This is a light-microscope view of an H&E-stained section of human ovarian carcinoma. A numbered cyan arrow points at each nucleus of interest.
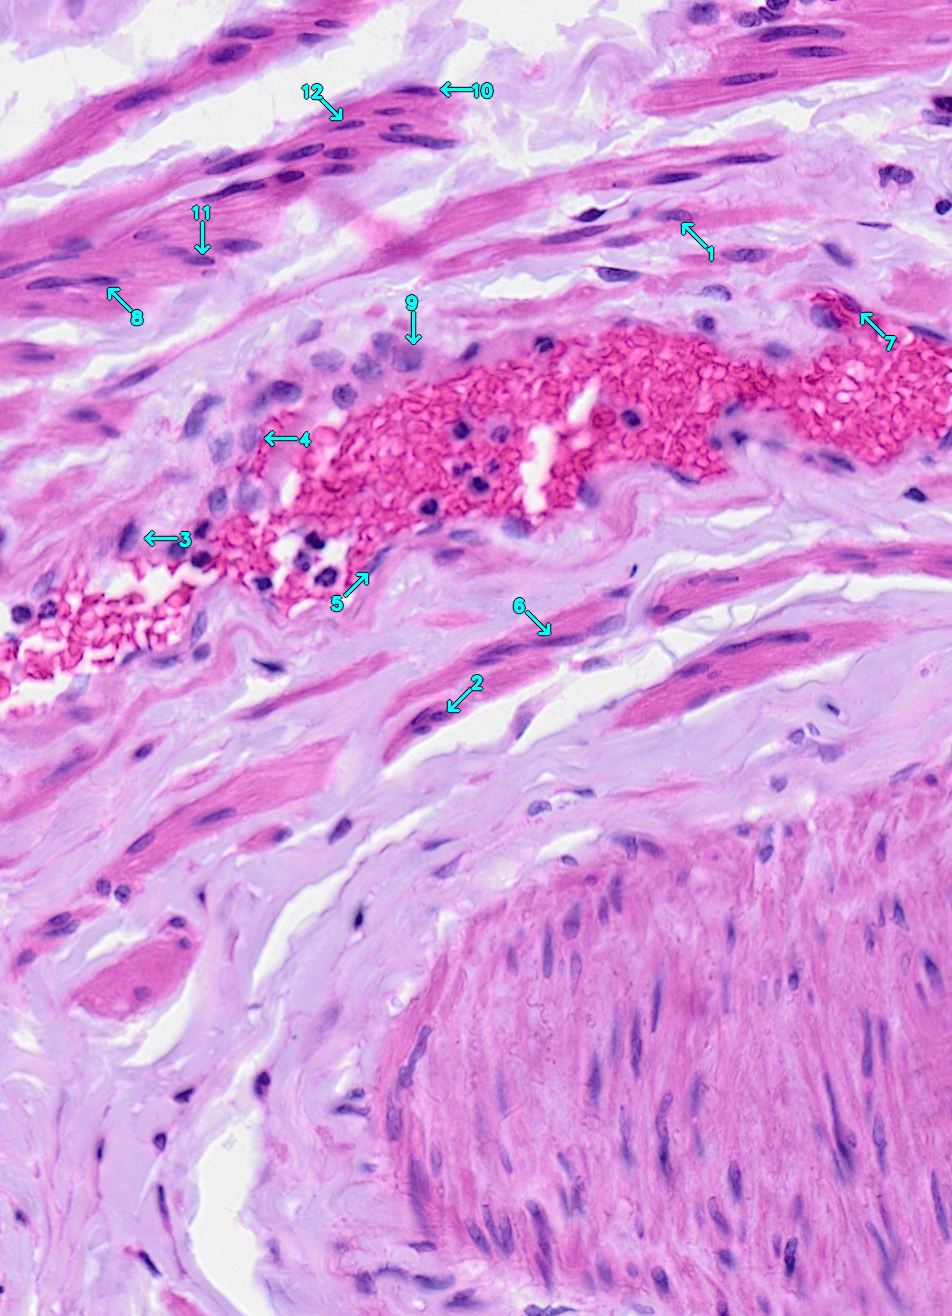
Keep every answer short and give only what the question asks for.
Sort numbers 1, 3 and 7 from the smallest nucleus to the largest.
7, 1, 3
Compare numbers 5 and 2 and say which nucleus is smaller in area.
2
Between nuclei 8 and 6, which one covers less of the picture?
8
